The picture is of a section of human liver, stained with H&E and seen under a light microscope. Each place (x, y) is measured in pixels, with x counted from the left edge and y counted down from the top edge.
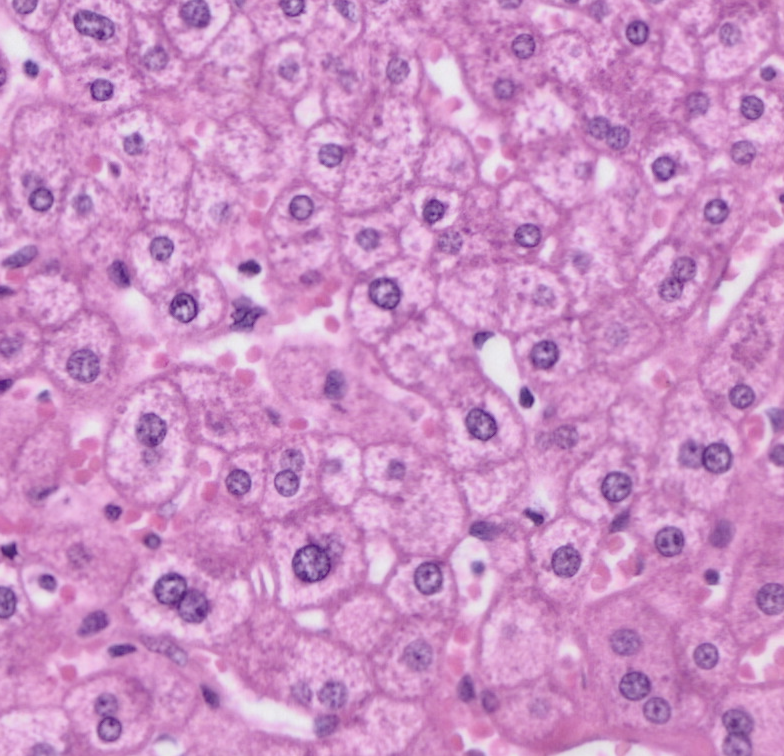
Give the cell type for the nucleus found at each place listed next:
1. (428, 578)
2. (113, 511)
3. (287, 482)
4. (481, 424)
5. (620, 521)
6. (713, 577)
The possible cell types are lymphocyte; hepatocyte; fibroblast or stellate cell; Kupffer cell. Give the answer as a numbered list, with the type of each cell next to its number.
1. hepatocyte
2. lymphocyte
3. hepatocyte
4. hepatocyte
5. fibroblast or stellate cell
6. lymphocyte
